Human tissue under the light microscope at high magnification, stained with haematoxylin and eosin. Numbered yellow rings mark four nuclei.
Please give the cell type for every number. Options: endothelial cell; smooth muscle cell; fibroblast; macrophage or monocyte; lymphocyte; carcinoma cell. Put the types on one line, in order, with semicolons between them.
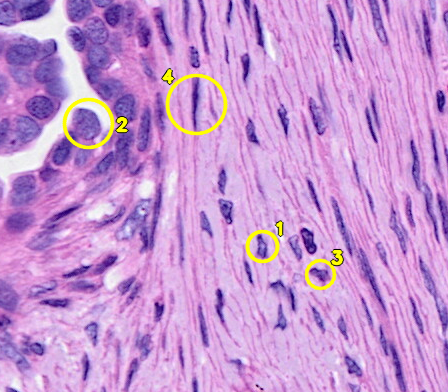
fibroblast; carcinoma cell; fibroblast; fibroblast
